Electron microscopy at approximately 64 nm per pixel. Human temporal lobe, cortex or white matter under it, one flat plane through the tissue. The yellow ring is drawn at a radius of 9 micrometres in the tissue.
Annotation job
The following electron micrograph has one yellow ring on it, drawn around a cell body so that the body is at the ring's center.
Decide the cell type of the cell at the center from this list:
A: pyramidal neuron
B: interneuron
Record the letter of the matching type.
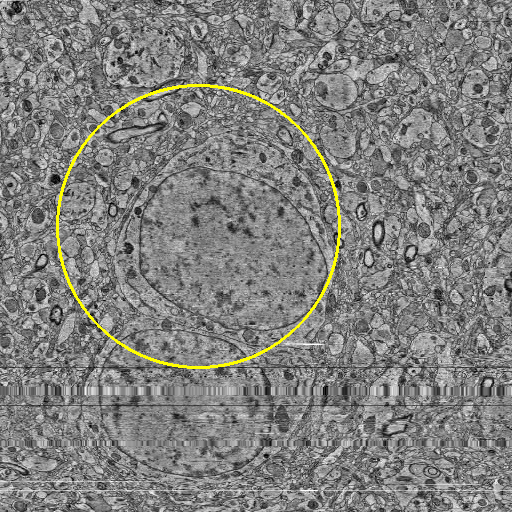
A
